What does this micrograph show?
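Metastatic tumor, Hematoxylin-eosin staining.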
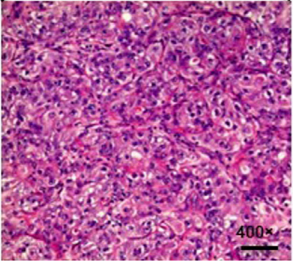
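The cells have ample pink to pale cytoplasm and well-defined borders. Many nuclei are surrounded by a clear halo of pale cytoplasm. Thin strands of stroma with small vessels run between the cell groups.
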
